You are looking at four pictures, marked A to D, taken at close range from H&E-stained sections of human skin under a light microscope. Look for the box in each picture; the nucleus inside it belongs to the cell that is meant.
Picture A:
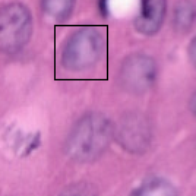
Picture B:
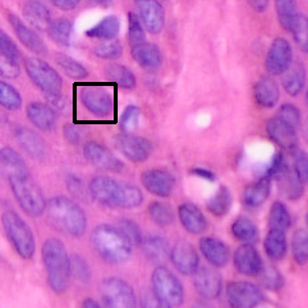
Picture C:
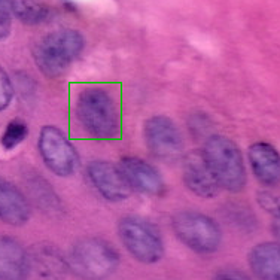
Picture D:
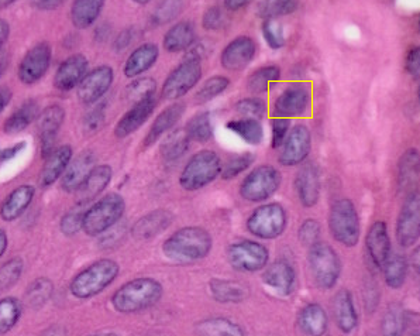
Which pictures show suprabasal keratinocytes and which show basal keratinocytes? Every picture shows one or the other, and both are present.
A: suprabasal keratinocyte
B: basal keratinocyte
C: basal keratinocyte
D: basal keratinocyte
